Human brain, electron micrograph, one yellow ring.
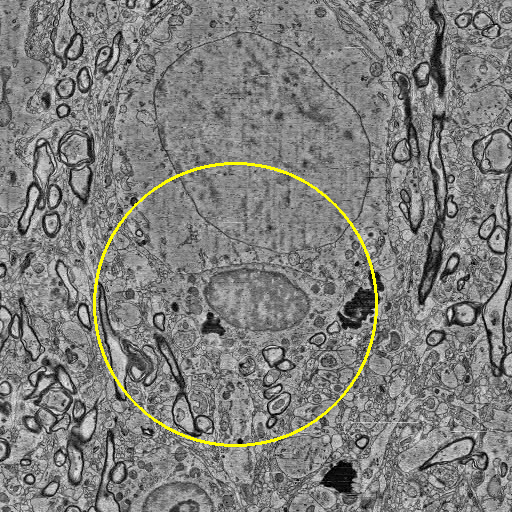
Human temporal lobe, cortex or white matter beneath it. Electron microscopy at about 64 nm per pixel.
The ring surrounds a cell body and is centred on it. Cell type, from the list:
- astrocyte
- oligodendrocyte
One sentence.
The yellow ring circles an oligodendrocyte.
